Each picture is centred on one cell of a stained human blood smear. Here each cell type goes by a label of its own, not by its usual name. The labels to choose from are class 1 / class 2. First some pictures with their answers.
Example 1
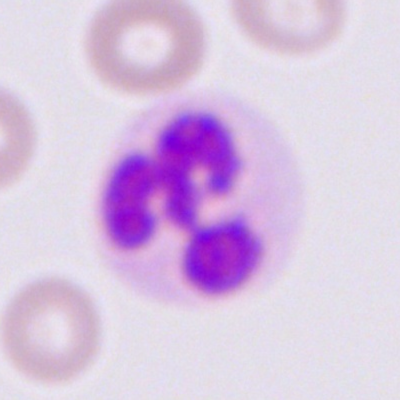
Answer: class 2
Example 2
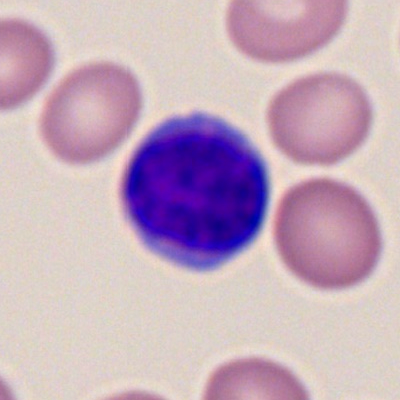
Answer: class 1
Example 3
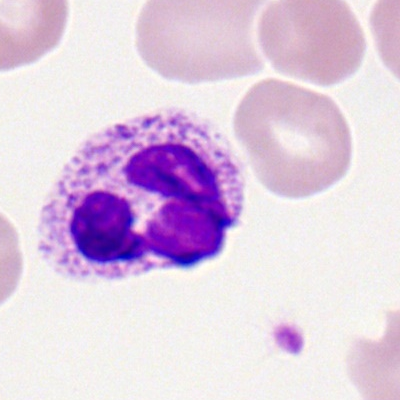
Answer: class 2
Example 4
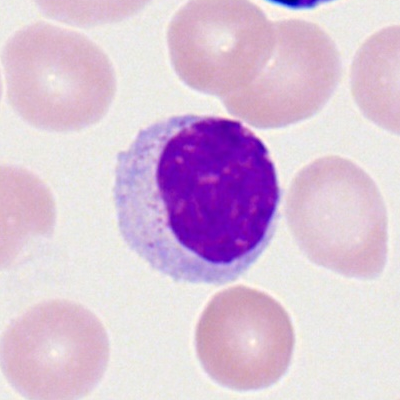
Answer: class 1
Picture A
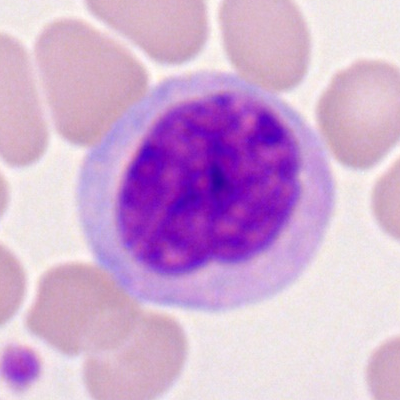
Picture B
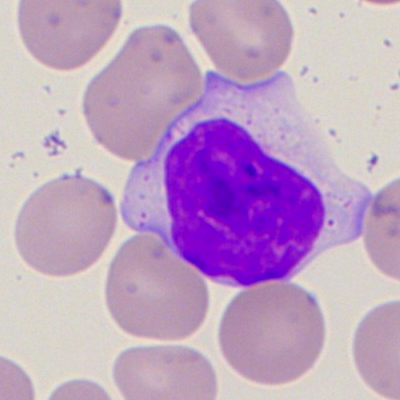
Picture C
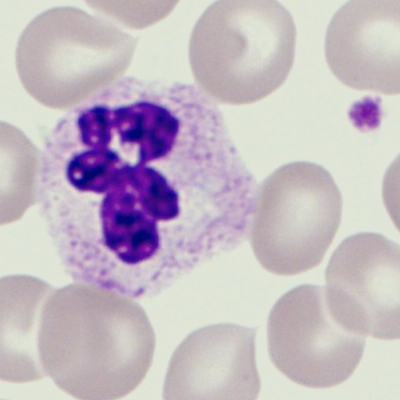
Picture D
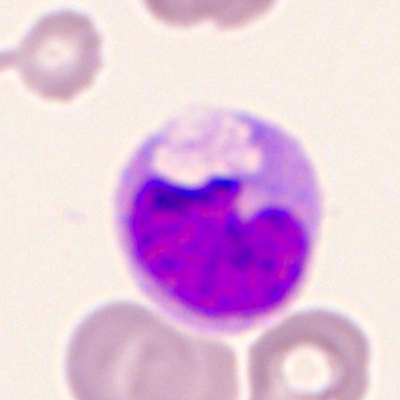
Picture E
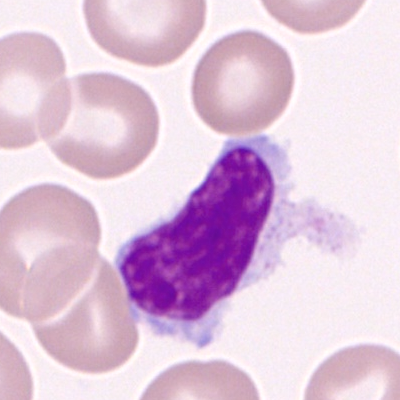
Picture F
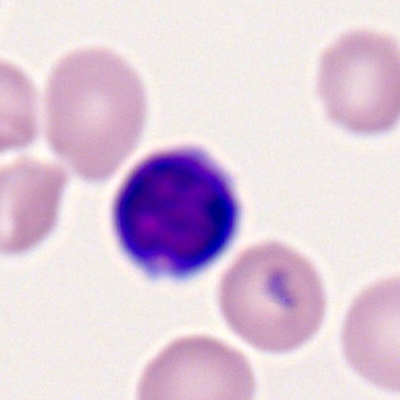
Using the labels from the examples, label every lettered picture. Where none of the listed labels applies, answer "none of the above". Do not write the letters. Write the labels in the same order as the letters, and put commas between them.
none of the above, class 1, class 2, none of the above, class 1, class 1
